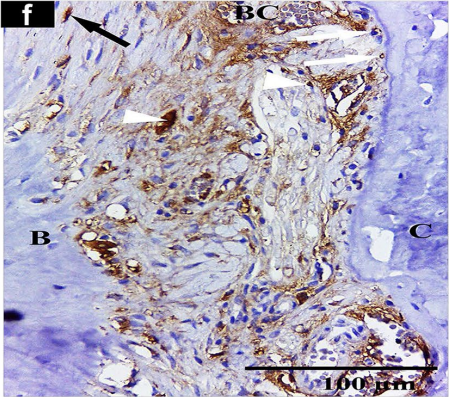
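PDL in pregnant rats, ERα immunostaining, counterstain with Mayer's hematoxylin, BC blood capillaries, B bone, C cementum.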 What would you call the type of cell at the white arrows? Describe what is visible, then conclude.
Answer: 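Cementoblasts. The white arrows point toward the side of the tissue facing the pale layer marked C.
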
